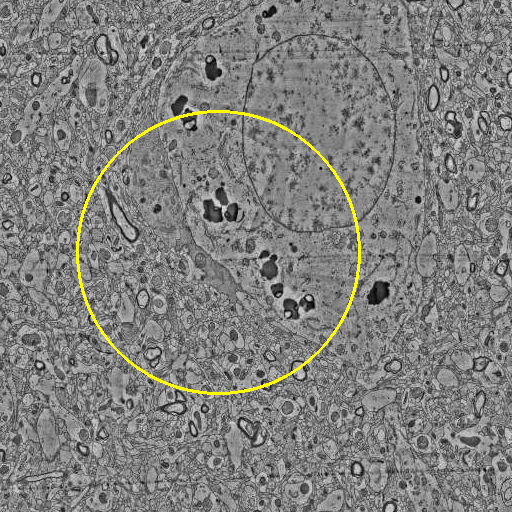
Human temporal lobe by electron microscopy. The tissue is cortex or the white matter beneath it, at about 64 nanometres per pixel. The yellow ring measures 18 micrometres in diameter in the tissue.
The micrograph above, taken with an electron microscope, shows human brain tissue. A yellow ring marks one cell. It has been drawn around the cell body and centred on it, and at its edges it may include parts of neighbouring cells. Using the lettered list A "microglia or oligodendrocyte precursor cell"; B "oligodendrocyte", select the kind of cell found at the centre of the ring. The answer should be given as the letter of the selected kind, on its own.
B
